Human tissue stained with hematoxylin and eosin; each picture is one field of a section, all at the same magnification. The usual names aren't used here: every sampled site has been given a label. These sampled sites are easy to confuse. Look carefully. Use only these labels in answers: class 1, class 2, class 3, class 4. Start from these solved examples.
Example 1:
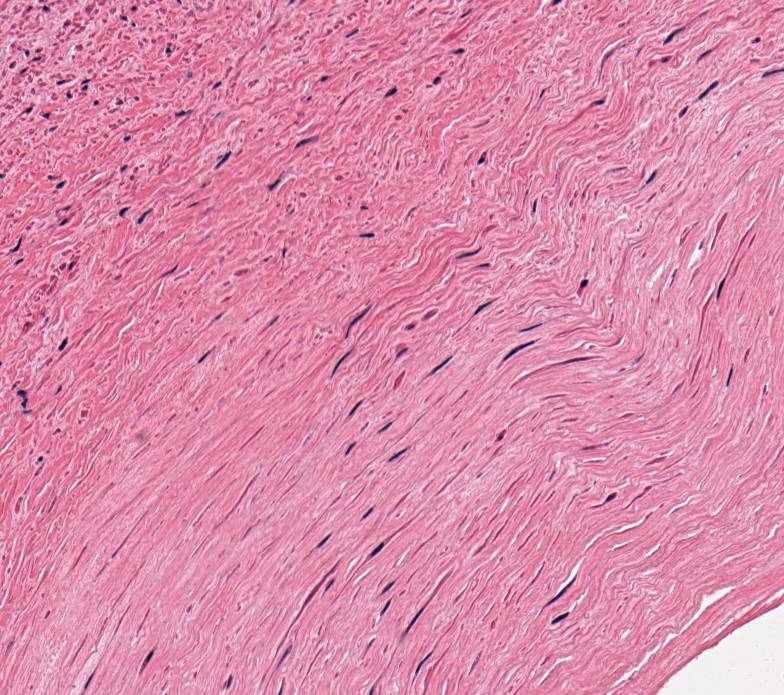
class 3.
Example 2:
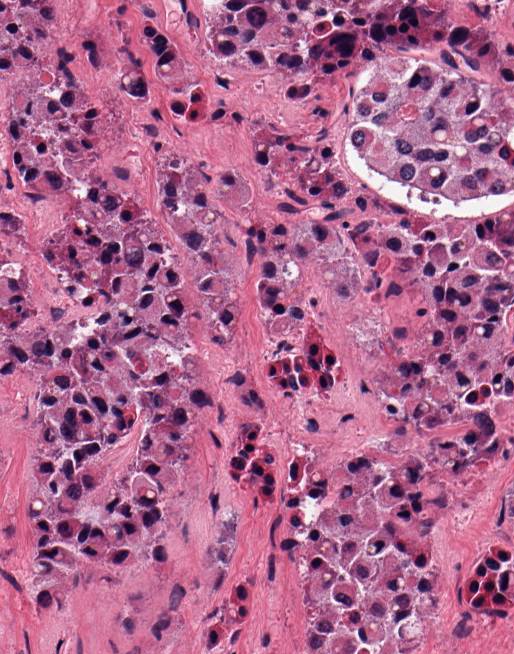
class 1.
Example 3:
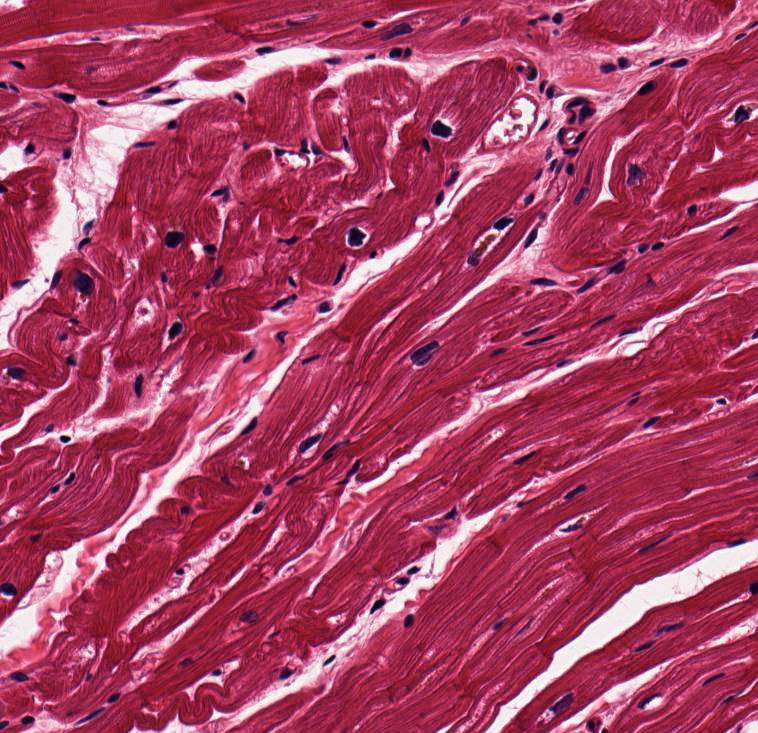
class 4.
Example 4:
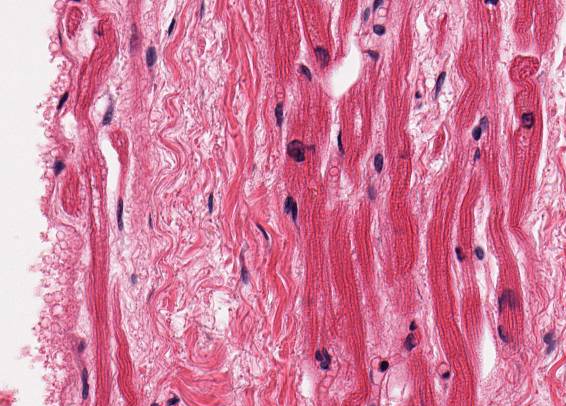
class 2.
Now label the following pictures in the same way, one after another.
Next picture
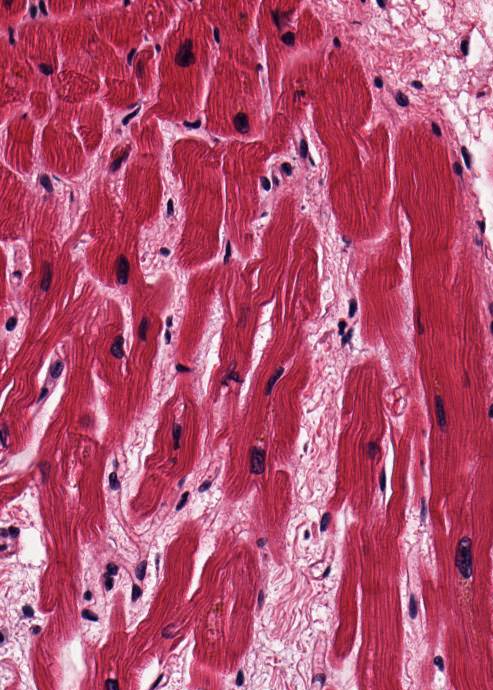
class 4.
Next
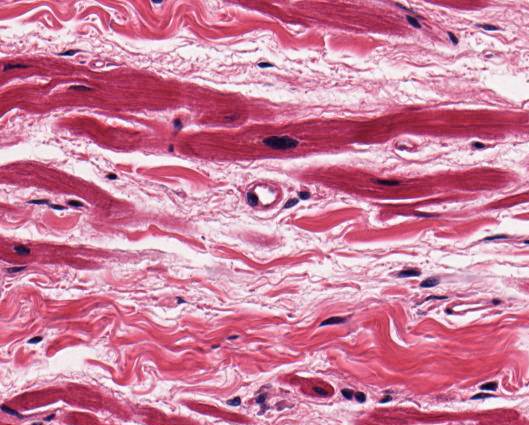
class 2.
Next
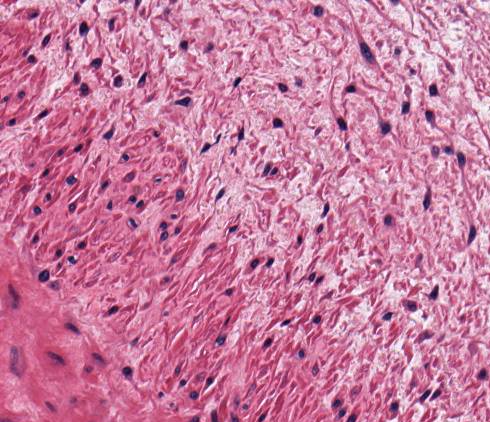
class 3.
